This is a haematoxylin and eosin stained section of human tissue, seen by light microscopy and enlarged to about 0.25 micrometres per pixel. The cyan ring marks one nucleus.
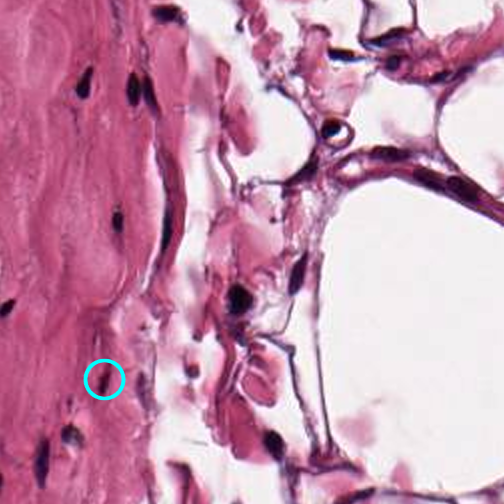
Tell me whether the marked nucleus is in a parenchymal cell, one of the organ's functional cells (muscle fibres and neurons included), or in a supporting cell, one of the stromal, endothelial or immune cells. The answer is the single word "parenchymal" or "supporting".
supporting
